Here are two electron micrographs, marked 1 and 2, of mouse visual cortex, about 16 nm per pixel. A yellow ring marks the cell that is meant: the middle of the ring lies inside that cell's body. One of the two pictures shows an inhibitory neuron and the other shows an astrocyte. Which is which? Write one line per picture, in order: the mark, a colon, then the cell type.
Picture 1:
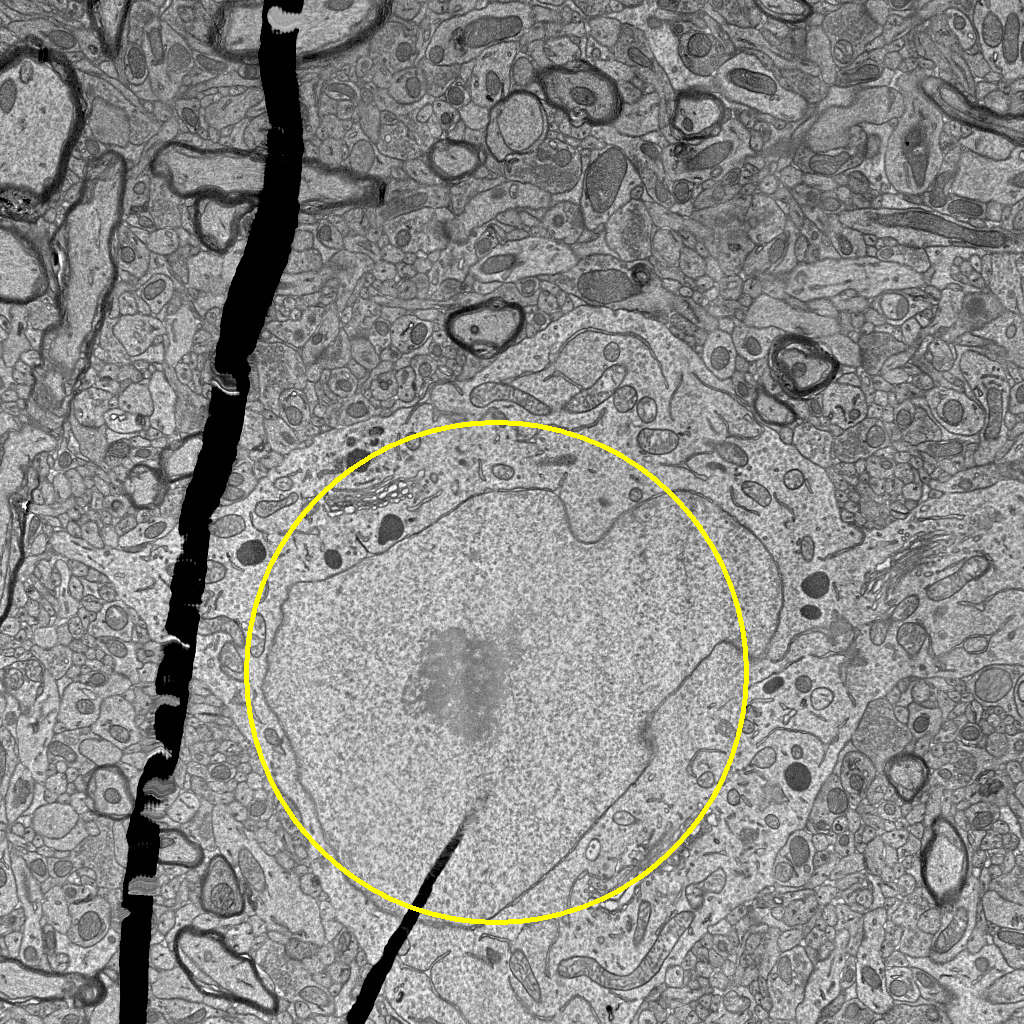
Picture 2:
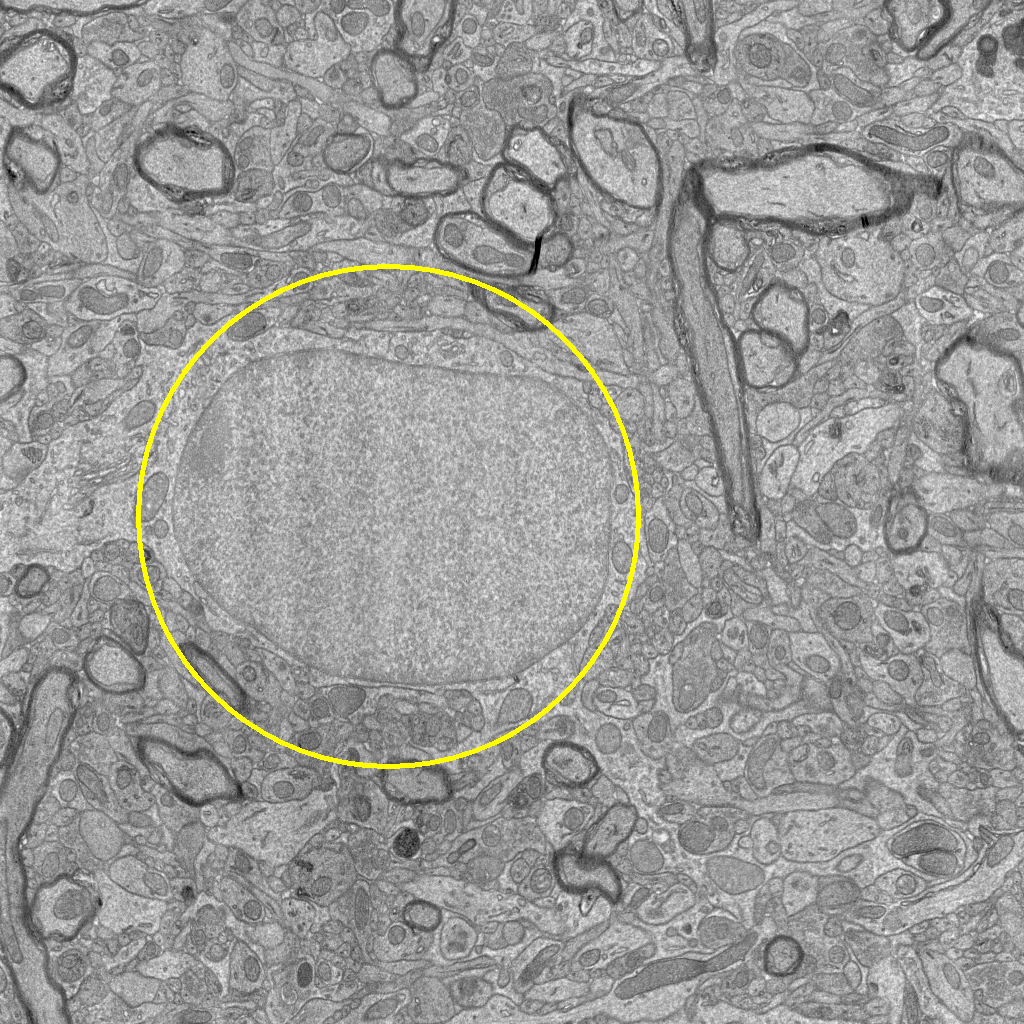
1: inhibitory neuron
2: astrocyte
